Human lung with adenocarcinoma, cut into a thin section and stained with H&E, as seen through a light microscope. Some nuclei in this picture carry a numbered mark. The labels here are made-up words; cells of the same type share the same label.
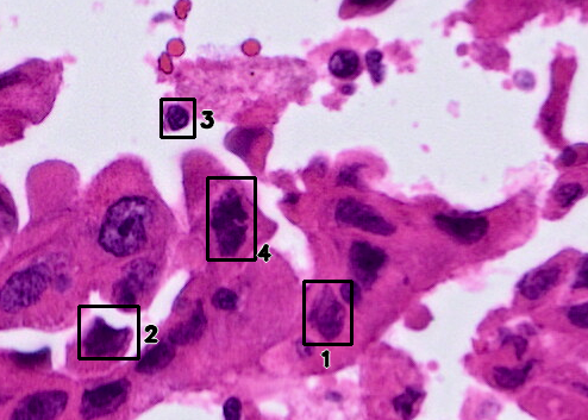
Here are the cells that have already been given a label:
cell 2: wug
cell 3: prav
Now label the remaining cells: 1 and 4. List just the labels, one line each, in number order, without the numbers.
wug
wug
